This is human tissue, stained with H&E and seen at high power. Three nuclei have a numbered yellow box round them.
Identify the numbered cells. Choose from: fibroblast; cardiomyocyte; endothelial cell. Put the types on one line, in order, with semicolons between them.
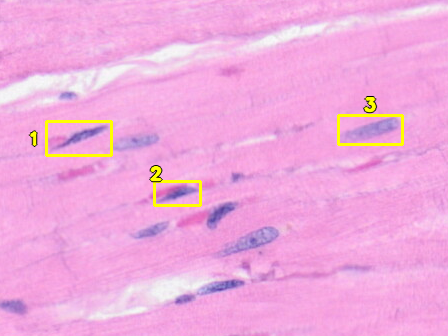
endothelial cell; endothelial cell; cardiomyocyte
